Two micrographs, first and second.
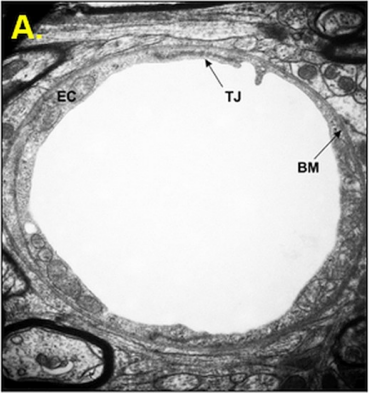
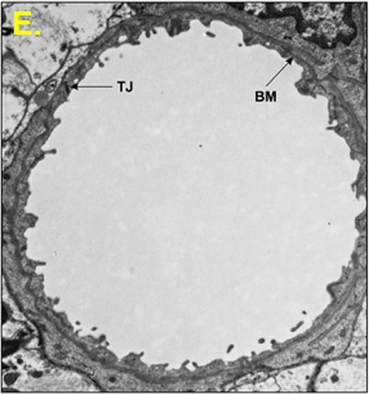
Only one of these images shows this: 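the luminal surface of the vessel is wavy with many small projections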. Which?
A: The second image.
